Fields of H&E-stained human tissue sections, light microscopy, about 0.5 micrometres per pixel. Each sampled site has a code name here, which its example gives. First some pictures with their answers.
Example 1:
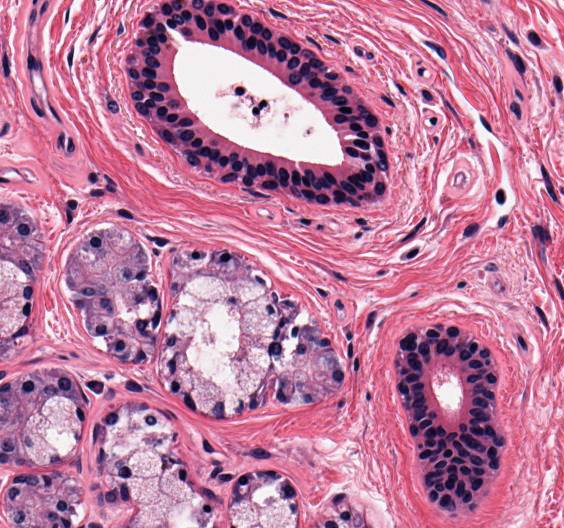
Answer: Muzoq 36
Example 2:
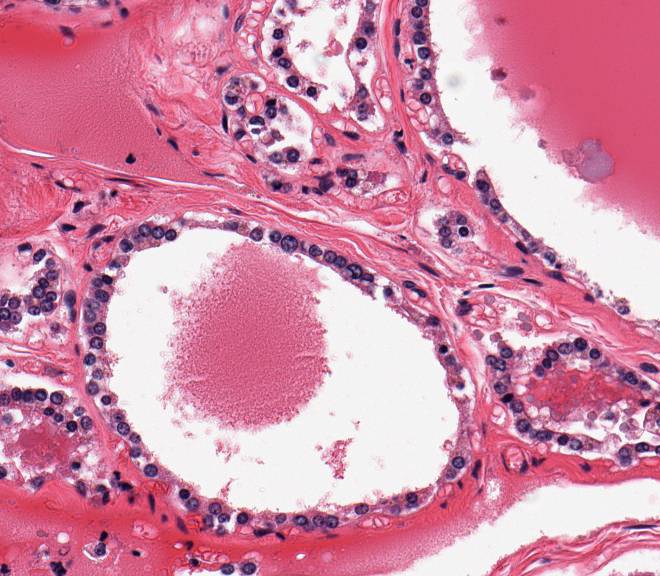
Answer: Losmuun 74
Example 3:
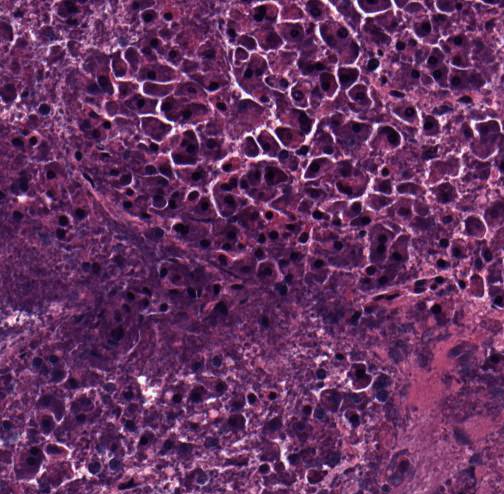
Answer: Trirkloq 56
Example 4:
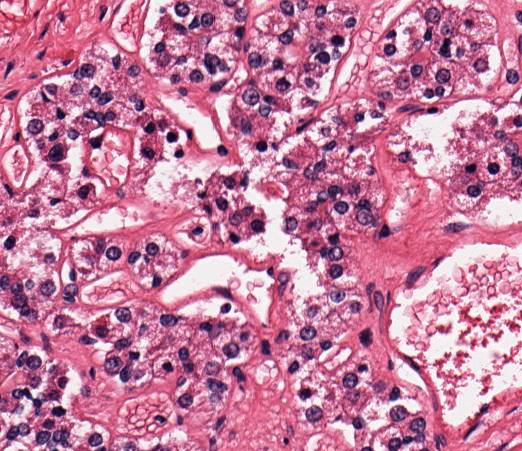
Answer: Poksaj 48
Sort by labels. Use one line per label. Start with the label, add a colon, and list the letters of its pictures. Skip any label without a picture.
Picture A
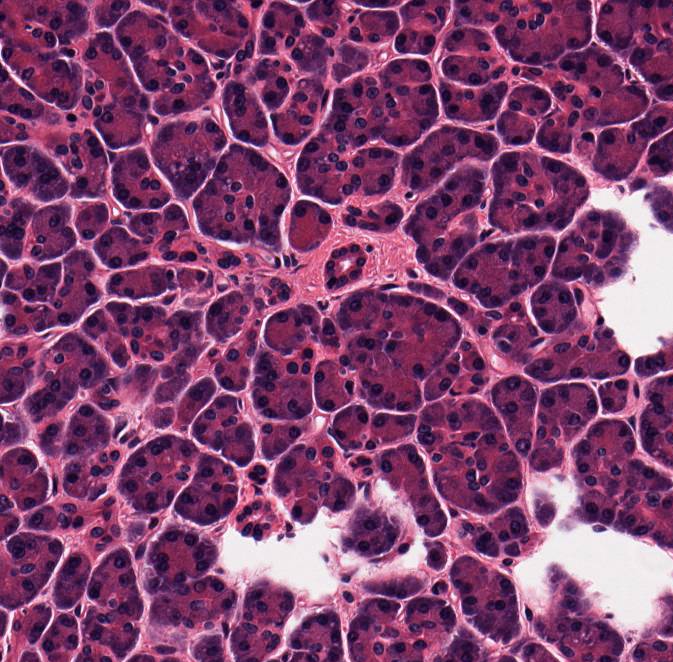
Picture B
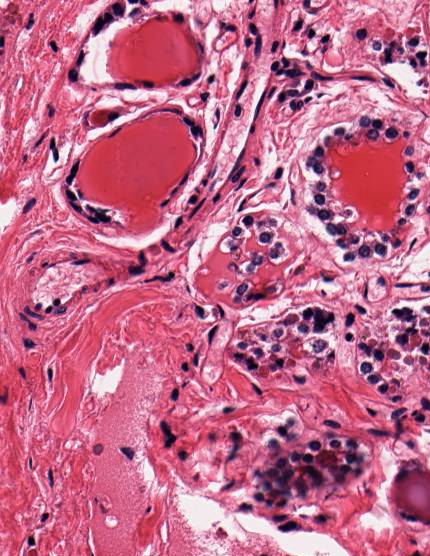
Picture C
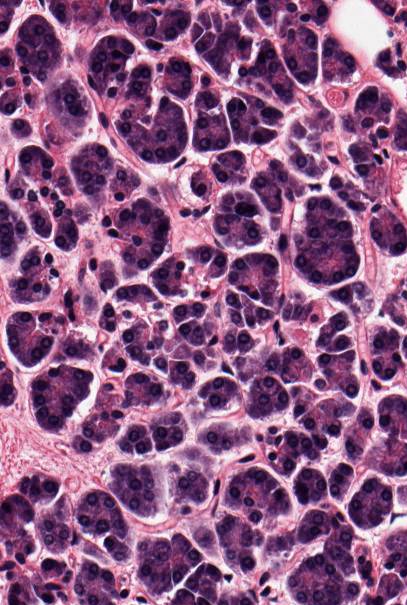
Losmuun 74: B
Trirkloq 56: A, C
